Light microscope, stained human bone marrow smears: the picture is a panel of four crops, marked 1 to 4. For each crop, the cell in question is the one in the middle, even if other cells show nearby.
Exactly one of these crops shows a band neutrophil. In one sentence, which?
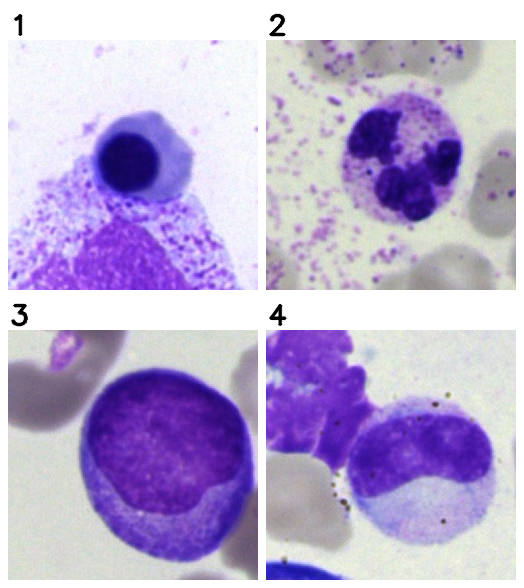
Crop 4, of the crops presented, is the one showing a band neutrophil.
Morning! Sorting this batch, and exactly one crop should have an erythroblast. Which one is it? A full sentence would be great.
Crop 1, and no other, shows an erythroblast.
